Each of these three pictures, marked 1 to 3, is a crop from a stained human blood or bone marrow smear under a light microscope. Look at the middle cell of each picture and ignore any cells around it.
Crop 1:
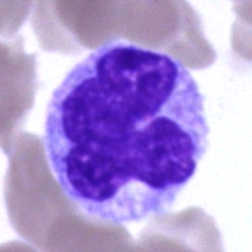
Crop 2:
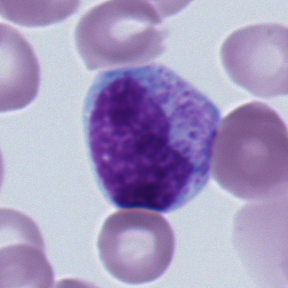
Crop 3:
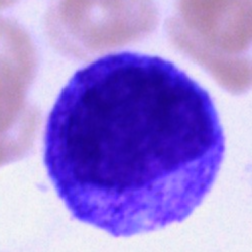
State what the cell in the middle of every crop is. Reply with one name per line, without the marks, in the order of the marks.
monocyte
myelocyte
promyelocyte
